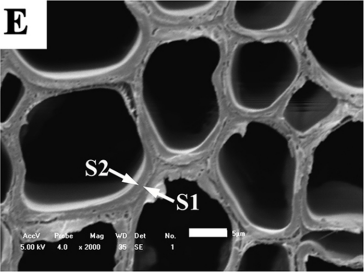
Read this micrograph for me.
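This is a cross-section of wood fibres seen with the scanning electron microscope, the cells polygonal with wide dark lumens. Their walls are comparatively thin and firmly joined to those of their neighbours. At higher power the wall shows layers: a thin outer layer next to the joint between cells and a thicker inner layer facing the lumen. No loose inner lining is seen inside these cells.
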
